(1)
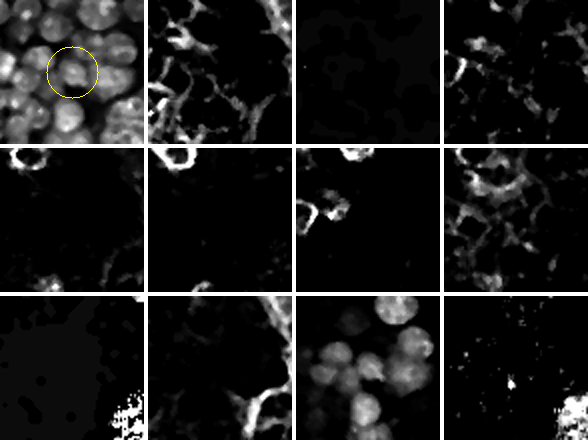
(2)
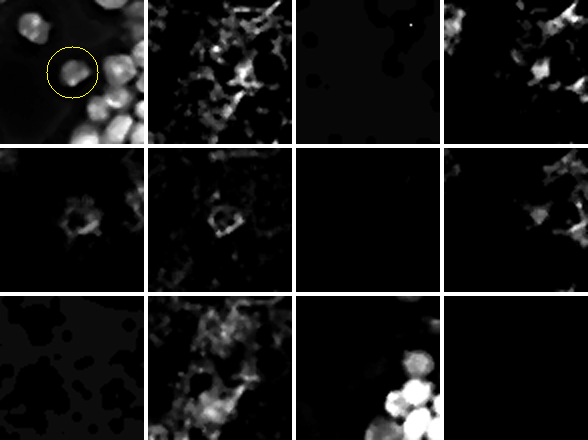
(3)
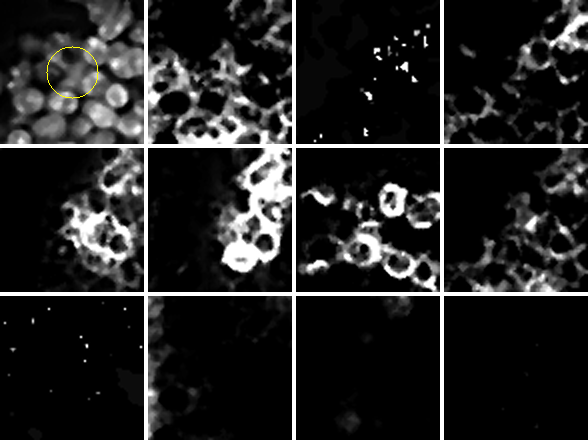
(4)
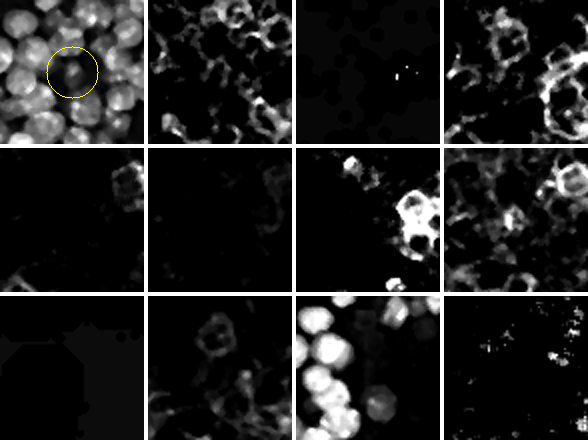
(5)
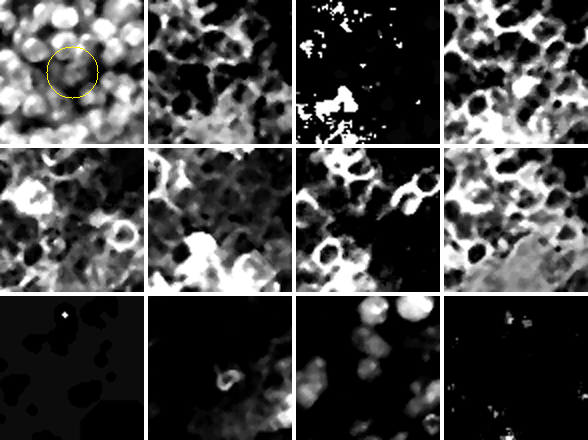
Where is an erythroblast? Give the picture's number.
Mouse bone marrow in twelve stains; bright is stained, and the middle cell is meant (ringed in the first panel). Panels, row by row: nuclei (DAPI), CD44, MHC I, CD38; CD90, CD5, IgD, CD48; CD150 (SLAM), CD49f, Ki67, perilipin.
1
